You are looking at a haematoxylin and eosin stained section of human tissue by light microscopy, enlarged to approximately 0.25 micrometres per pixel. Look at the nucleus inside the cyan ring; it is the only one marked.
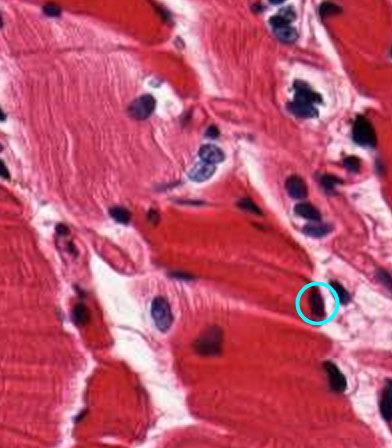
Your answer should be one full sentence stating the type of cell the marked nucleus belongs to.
The marked nucleus sits within a skeletal muscle fibre.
